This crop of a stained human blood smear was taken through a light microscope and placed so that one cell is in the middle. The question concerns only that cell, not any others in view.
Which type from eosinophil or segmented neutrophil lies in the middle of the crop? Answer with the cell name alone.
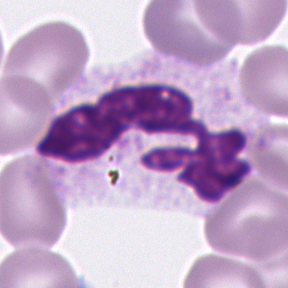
segmented neutrophil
